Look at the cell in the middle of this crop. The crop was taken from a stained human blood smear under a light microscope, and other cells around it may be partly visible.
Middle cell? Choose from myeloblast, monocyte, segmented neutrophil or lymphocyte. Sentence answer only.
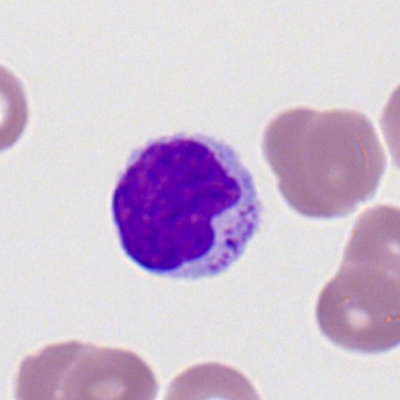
The central cell in this smear crop is a lymphocyte.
